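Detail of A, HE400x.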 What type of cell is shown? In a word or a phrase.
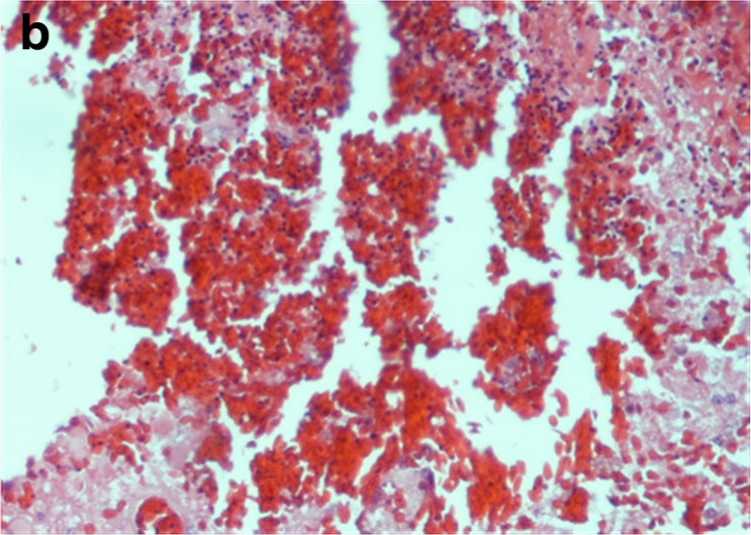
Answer: extravasated well-preserved red blood-cells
